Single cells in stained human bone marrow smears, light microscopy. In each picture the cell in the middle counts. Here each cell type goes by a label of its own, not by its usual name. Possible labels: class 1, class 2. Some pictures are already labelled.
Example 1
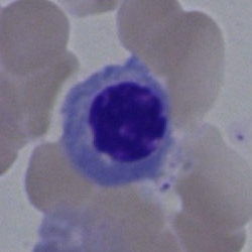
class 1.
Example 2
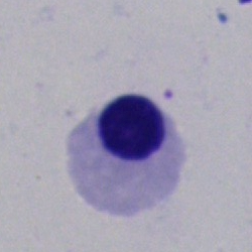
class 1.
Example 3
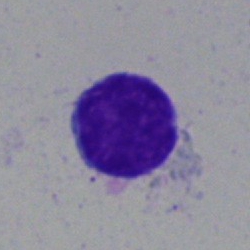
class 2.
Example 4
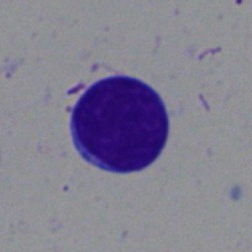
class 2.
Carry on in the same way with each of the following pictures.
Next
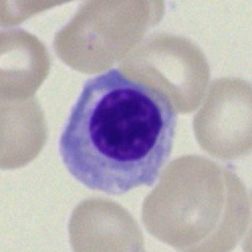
class 1.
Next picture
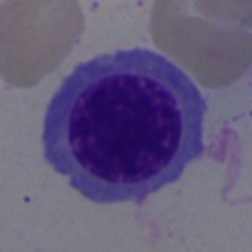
class 1.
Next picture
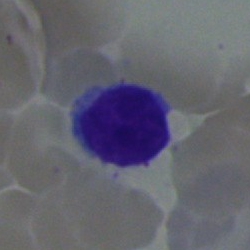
class 2.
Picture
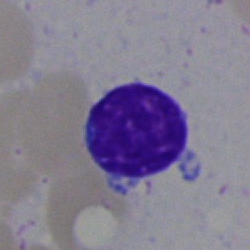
class 2.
